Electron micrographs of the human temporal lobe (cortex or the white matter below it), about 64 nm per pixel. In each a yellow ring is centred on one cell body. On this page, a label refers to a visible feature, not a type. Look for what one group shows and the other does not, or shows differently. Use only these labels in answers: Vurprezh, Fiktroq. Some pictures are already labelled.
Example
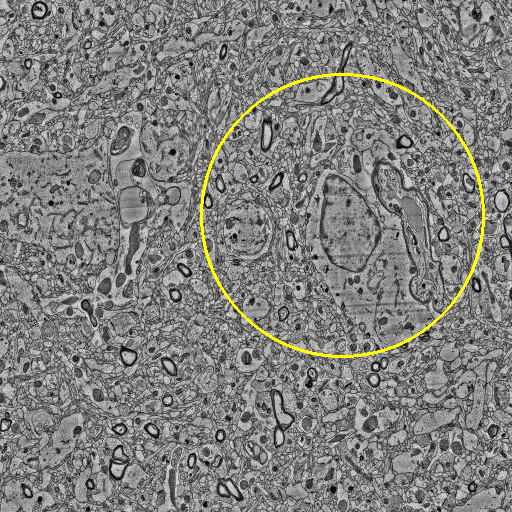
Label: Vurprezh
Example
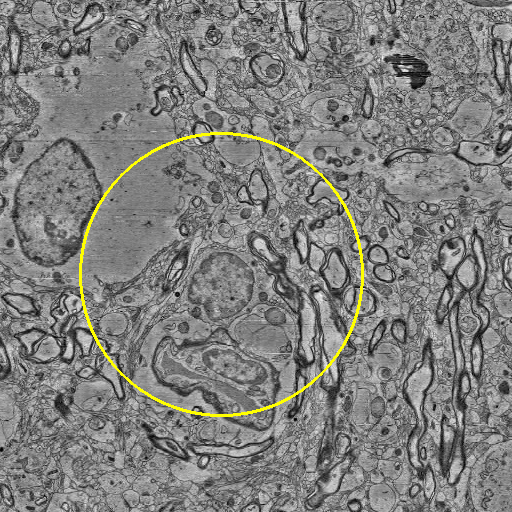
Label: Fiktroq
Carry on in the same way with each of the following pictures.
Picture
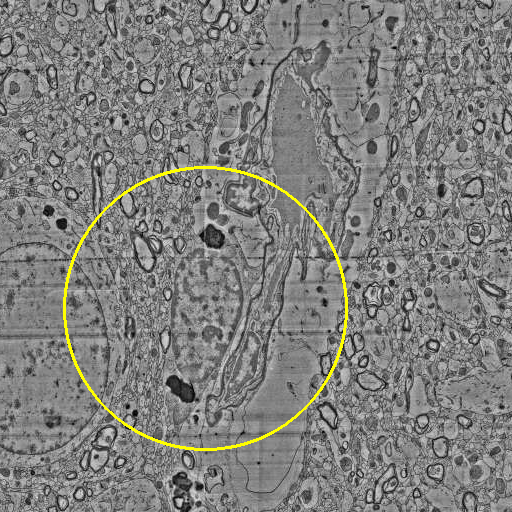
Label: Vurprezh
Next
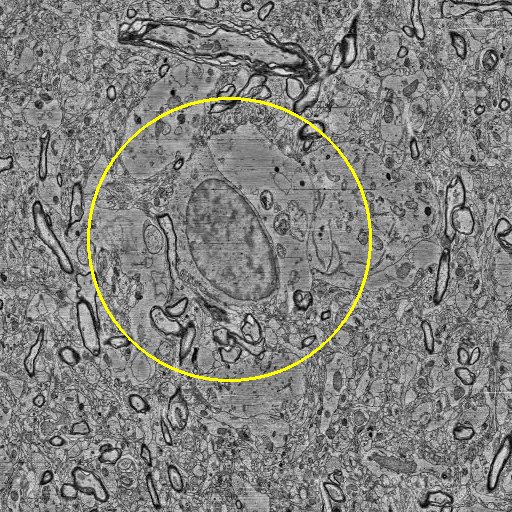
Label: Vurprezh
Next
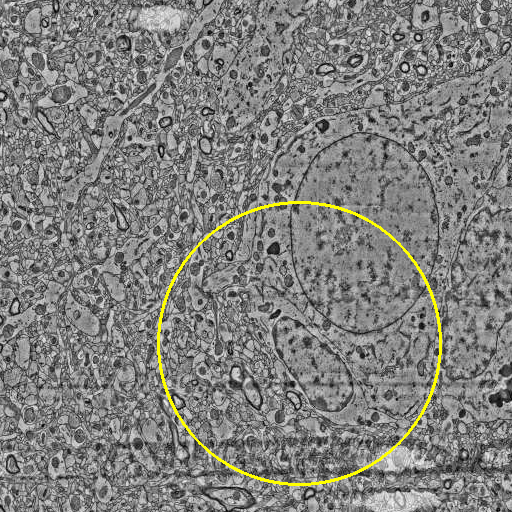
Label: Vurprezh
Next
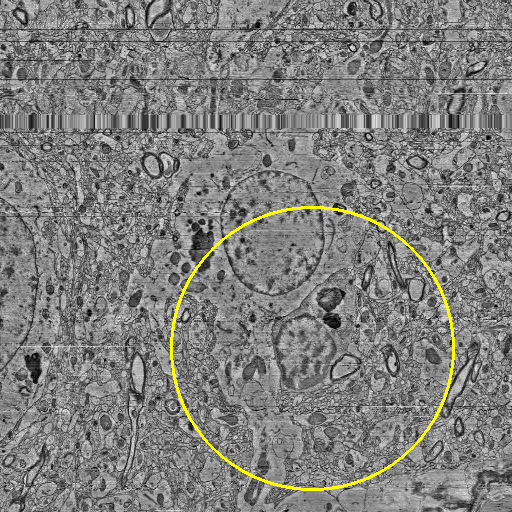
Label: Fiktroq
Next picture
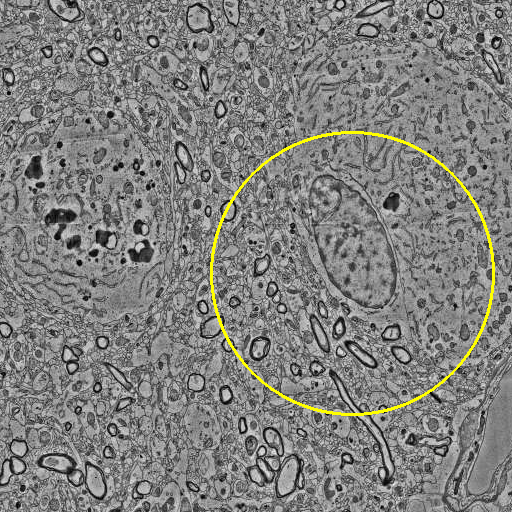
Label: Vurprezh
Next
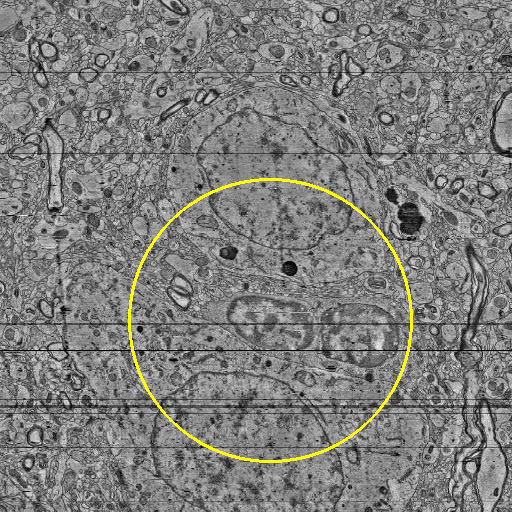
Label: Vurprezh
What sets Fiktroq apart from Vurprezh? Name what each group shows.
In Fiktroq: round or nearly round nuclei. In Vurprezh: clearly elongated nuclei.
